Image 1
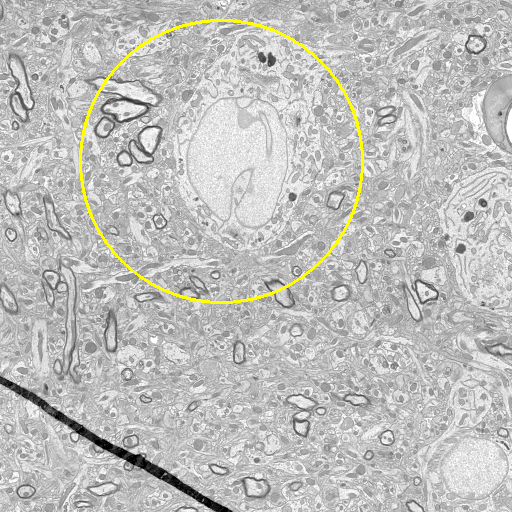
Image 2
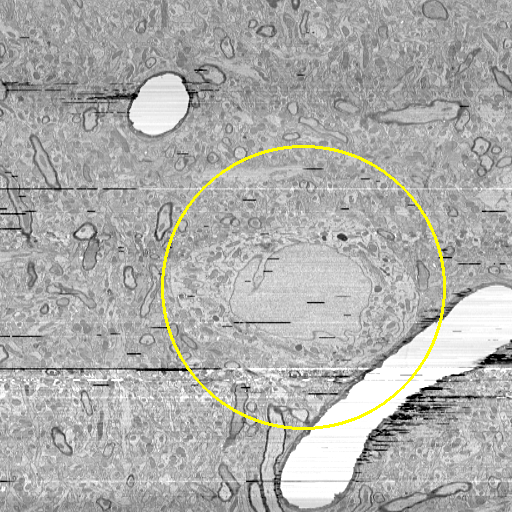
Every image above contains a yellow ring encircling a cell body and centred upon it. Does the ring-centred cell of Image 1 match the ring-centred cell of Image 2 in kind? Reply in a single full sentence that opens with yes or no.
Yes, the cell at the ring's centre in Image 1 is the same kind as that in Image 2.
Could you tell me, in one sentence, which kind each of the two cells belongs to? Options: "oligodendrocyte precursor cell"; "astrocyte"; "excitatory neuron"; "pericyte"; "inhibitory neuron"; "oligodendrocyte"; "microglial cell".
In both pictures the ring is centred on an inhibitory neuron.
